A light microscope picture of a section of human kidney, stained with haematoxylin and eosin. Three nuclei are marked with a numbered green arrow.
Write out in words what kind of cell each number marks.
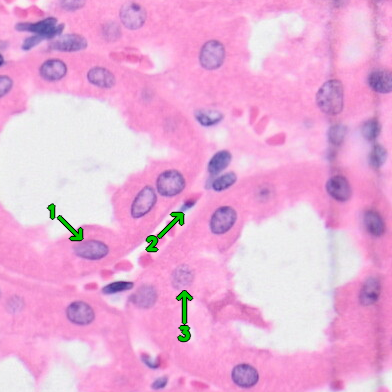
Cell 1 is a proximal tubule cell, cell 2 is an endothelial cell and cell 3 is a proximal tubule cell.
